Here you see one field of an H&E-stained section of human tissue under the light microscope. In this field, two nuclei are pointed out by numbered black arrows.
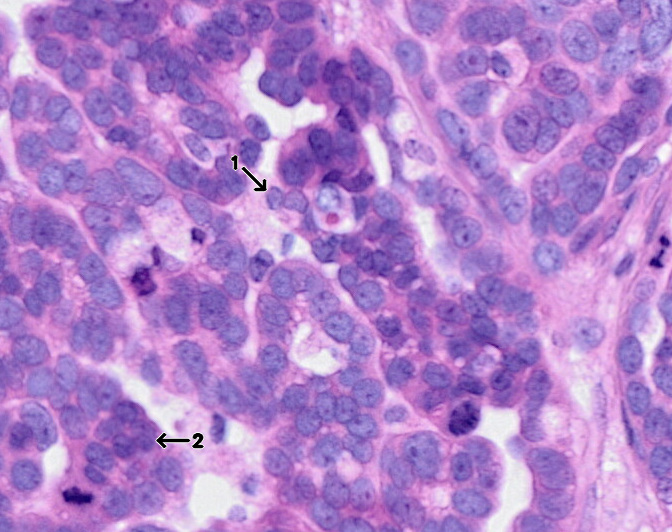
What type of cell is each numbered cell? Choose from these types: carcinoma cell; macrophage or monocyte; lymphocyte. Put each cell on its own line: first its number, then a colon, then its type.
1: macrophage or monocyte
2: carcinoma cell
